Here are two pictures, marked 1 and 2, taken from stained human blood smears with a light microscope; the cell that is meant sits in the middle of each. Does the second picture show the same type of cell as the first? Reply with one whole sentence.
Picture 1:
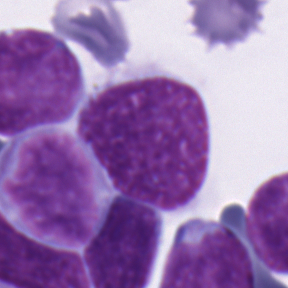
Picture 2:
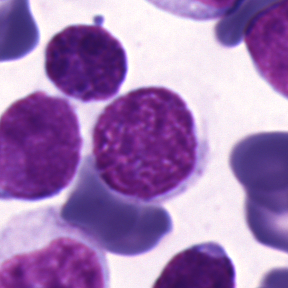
Yes; the cells in both pictures are myeloblasts.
